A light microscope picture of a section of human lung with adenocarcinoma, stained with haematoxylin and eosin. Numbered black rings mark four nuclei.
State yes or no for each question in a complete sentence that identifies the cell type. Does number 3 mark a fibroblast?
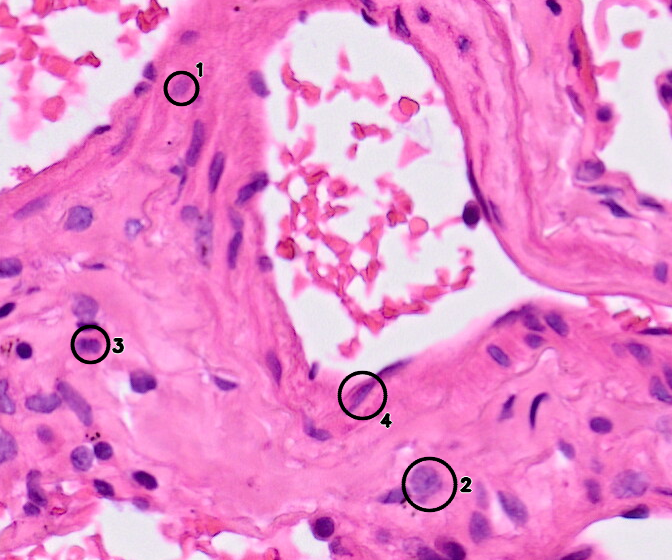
No, cell 3 should be read as a mast cell instead of a fibroblast.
